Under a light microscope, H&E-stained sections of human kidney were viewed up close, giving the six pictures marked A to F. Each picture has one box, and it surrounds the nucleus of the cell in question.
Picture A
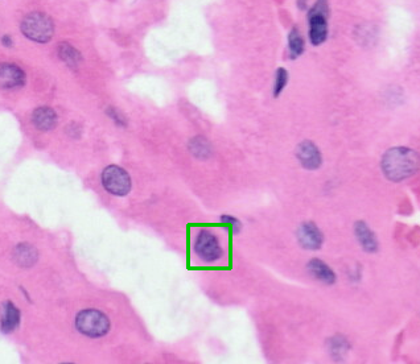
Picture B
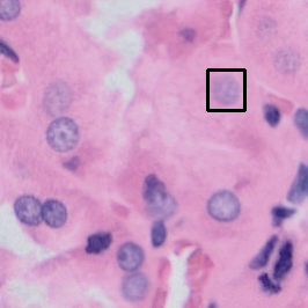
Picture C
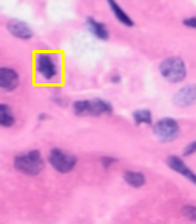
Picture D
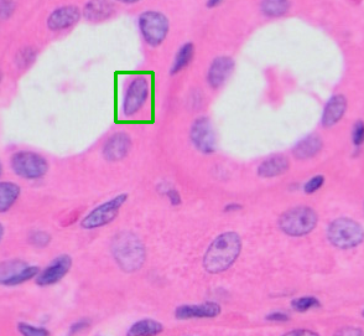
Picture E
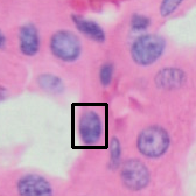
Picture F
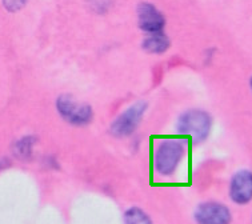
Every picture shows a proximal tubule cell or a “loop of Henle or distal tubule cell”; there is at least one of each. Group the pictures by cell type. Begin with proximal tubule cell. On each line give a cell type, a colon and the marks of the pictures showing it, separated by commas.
proximal tubule cell: A, B
loop of Henle or distal tubule cell: C, D, E, F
